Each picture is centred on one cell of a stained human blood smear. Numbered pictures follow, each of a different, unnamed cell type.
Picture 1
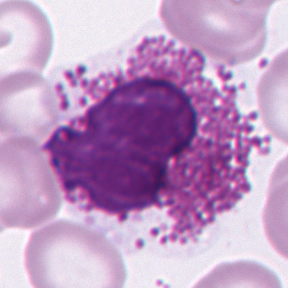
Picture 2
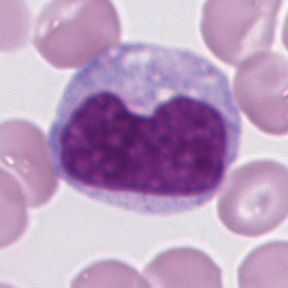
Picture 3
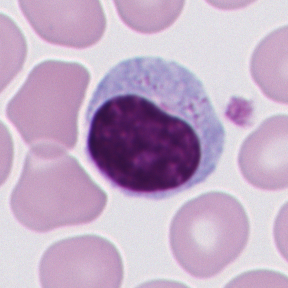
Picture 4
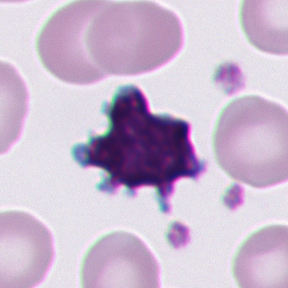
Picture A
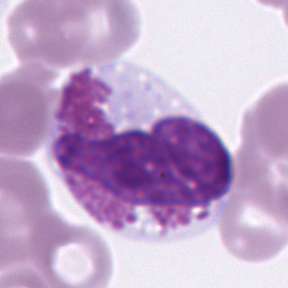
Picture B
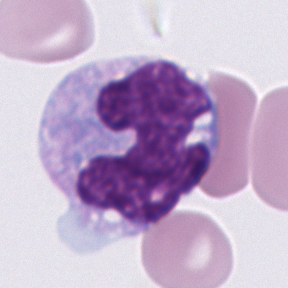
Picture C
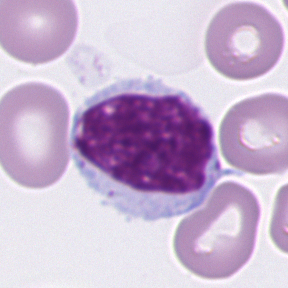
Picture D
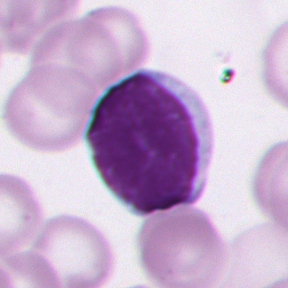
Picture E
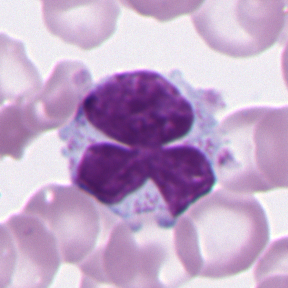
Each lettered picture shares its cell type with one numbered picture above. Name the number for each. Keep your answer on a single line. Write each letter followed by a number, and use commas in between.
A 1, B 2, C 3, D 4, E 3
